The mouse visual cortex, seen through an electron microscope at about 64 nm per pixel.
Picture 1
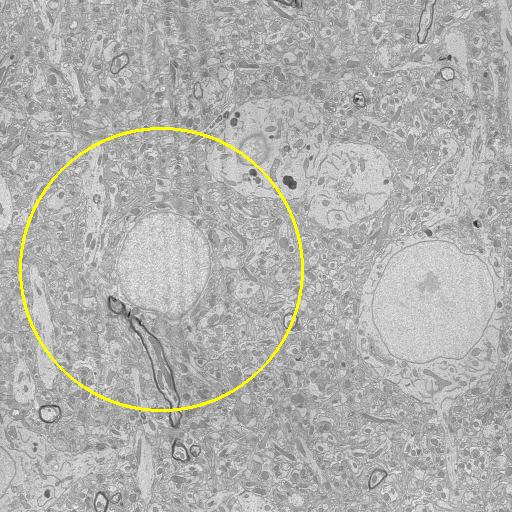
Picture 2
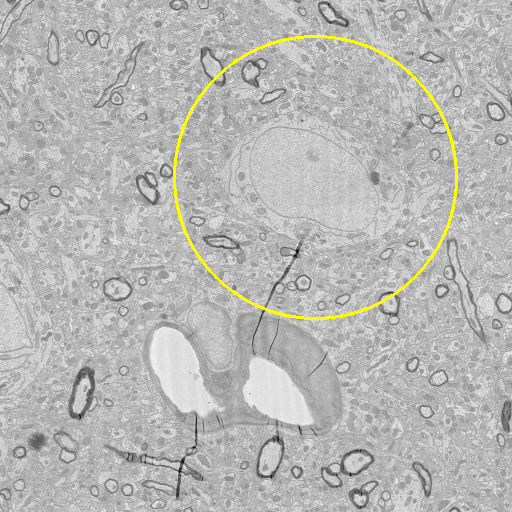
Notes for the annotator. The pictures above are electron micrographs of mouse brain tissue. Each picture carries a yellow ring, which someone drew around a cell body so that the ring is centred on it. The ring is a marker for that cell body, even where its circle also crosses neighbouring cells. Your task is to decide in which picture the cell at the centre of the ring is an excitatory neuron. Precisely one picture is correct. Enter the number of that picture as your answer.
2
